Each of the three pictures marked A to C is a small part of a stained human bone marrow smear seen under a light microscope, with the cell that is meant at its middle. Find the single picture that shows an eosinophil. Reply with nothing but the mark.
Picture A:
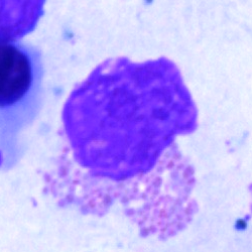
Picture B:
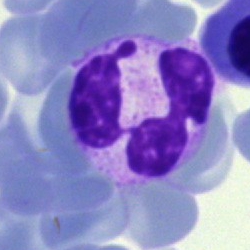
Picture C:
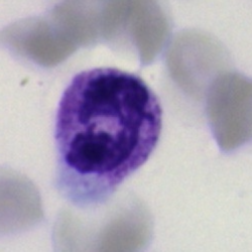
A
